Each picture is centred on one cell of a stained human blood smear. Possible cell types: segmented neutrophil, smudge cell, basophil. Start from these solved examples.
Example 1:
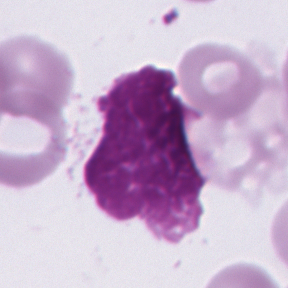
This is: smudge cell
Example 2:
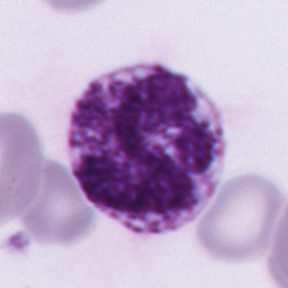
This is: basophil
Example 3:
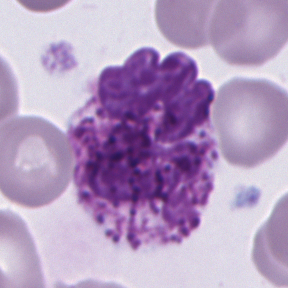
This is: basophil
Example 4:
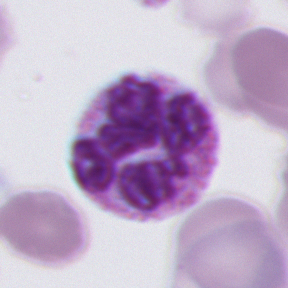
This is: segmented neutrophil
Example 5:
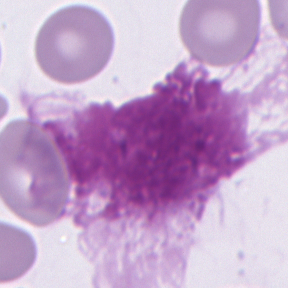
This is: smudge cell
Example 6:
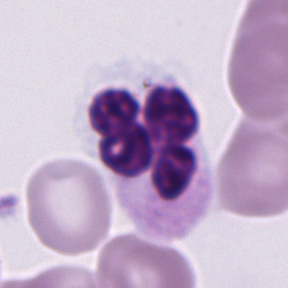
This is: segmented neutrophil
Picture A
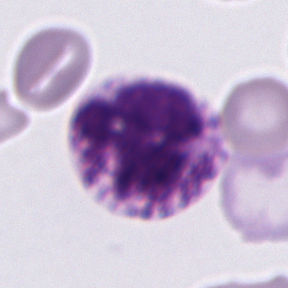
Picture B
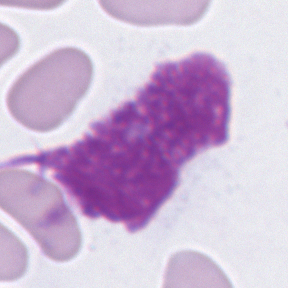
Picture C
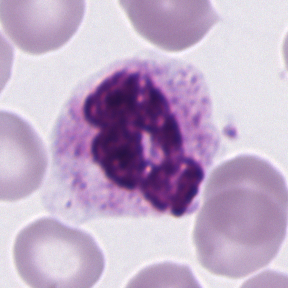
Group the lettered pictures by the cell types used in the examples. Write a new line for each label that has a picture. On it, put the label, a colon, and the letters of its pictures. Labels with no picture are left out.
segmented neutrophil: C
smudge cell: B
basophil: A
